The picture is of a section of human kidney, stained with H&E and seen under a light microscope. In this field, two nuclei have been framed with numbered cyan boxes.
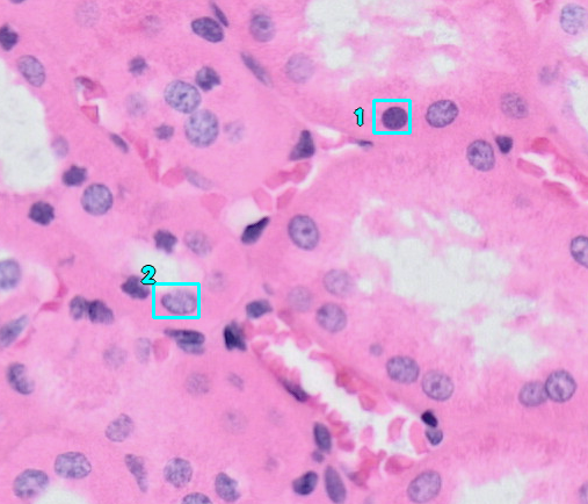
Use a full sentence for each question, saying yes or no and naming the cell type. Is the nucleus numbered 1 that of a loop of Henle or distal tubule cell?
No, it is a proximal tubule cell, rather than a loop of Henle or distal tubule cell, that carries number 1.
